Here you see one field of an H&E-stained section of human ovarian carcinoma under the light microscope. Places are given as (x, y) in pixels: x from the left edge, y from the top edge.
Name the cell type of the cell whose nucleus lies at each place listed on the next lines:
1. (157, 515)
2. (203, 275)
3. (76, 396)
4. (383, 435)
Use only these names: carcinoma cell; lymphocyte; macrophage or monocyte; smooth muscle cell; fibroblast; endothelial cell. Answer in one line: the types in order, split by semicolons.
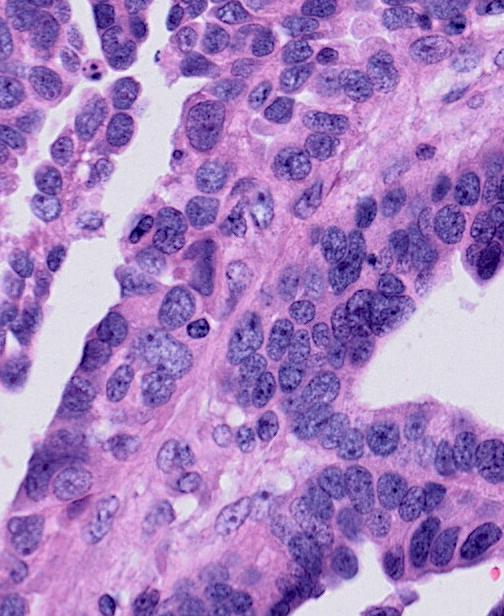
fibroblast; carcinoma cell; carcinoma cell; carcinoma cell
